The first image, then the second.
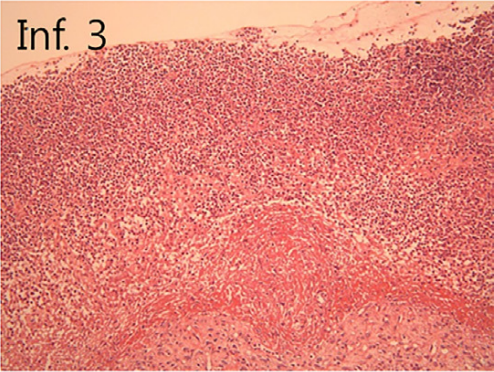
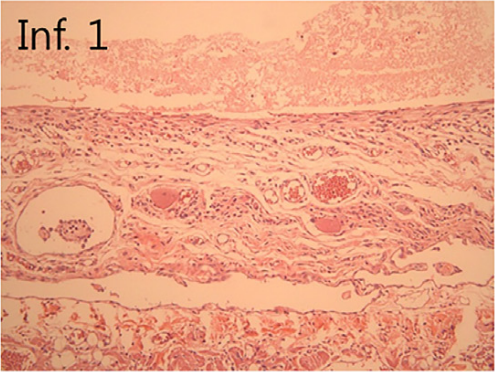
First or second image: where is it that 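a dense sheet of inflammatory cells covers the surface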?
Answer: the first image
